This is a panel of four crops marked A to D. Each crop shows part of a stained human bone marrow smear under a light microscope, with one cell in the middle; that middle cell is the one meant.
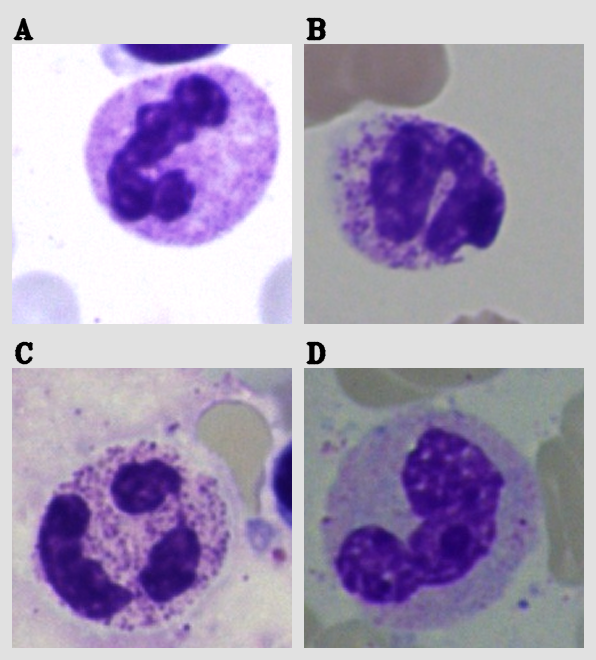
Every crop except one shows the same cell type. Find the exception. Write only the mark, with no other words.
D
